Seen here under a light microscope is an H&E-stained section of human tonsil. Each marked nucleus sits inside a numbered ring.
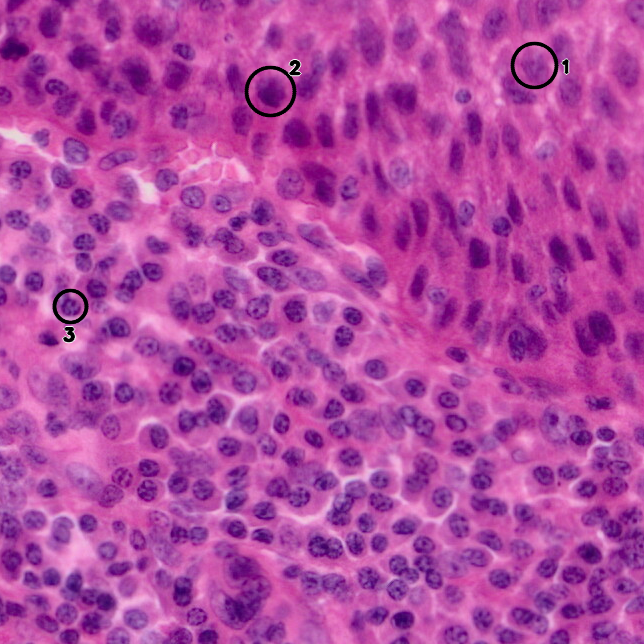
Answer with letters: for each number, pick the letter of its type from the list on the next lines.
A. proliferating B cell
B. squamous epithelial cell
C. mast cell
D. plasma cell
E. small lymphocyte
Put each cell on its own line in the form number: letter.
1: B
2: B
3: D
